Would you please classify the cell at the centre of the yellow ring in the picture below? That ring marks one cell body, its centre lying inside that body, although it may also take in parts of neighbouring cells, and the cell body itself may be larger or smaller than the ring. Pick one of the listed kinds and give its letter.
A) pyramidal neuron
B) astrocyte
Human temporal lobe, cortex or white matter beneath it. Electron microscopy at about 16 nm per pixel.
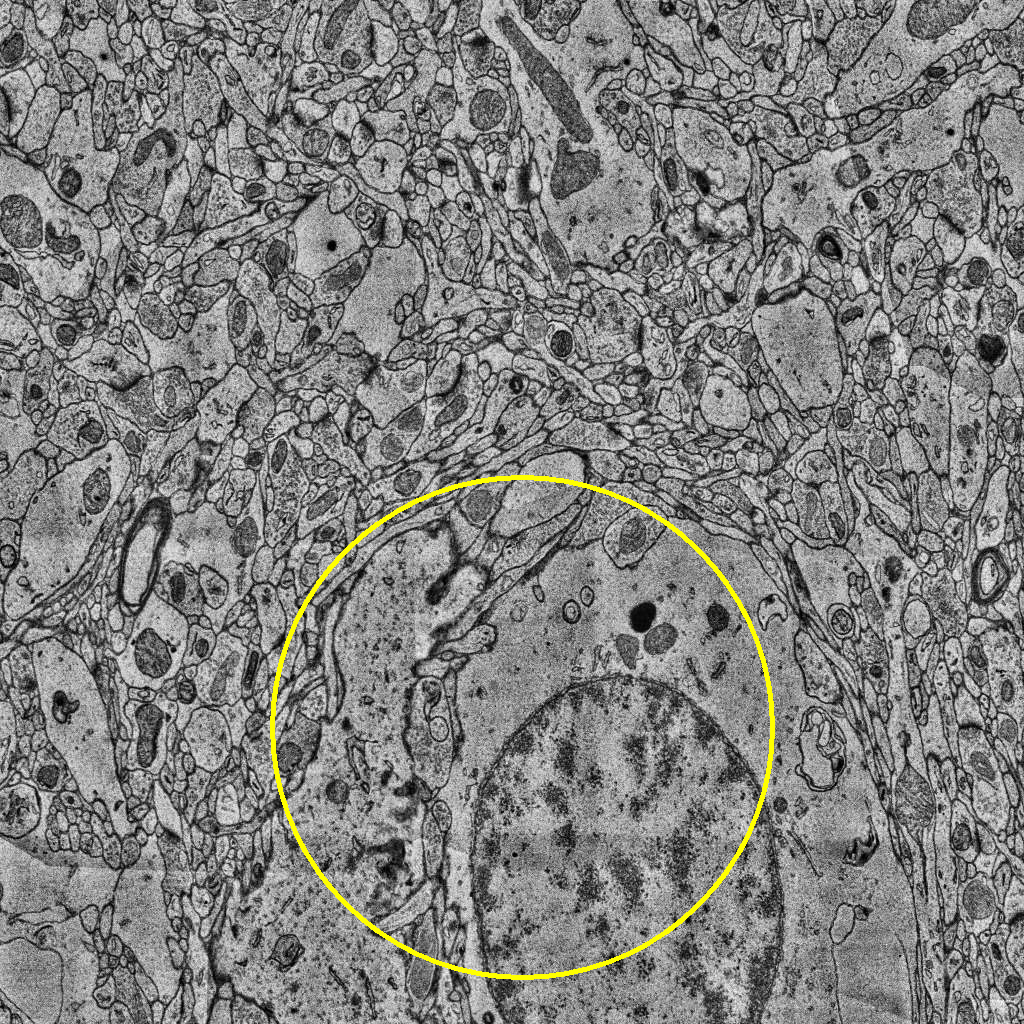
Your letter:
A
